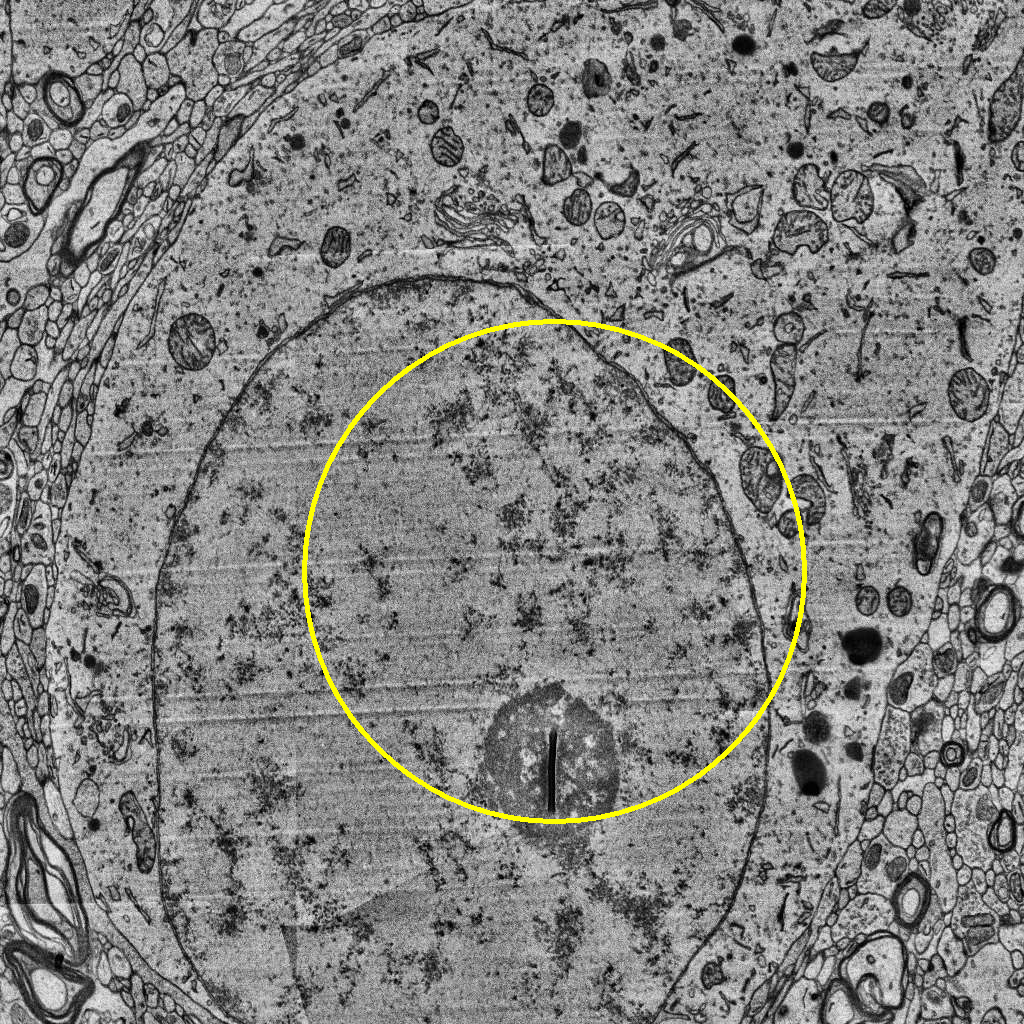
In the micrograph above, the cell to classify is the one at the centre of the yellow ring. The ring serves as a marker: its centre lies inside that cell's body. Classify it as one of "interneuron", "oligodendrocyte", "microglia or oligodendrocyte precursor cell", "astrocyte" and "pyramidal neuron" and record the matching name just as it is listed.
pyramidal neuron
